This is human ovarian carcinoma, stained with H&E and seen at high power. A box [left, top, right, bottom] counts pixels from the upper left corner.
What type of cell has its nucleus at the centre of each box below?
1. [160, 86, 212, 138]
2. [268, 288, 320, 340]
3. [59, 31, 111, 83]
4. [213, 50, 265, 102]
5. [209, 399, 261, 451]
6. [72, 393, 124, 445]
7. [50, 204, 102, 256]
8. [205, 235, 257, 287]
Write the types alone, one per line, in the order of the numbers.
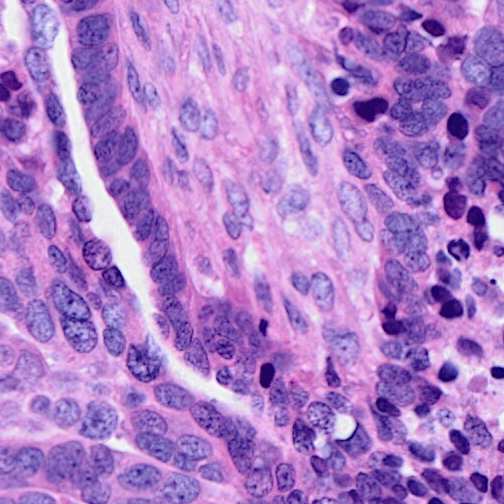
fibroblast
fibroblast
carcinoma cell
fibroblast
carcinoma cell
carcinoma cell
carcinoma cell
fibroblast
